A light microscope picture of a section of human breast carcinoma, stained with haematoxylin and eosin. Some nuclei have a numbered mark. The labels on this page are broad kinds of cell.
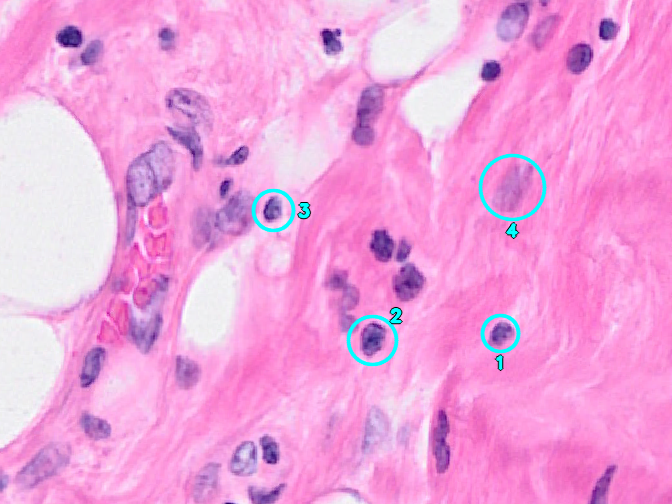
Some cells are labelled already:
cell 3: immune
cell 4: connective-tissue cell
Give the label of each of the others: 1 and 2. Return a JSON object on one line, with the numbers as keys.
{"1": "immune", "2": "immune"}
